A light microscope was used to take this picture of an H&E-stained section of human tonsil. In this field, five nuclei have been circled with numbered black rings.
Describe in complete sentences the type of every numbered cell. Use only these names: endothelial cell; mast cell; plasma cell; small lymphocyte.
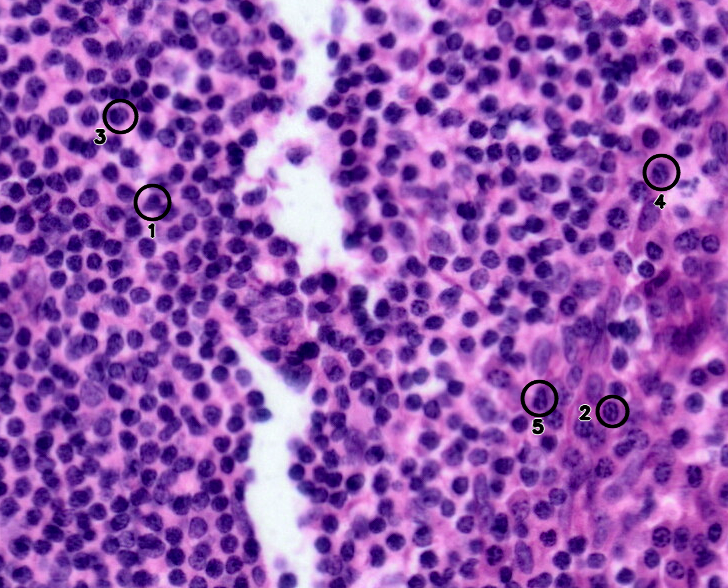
Cells 1 and 3 are small lymphocytes. Cells 2, 4 and 5 are plasma cells.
